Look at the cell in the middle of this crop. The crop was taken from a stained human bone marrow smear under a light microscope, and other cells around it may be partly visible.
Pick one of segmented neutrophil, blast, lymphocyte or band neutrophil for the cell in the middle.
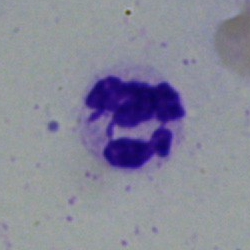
segmented neutrophil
